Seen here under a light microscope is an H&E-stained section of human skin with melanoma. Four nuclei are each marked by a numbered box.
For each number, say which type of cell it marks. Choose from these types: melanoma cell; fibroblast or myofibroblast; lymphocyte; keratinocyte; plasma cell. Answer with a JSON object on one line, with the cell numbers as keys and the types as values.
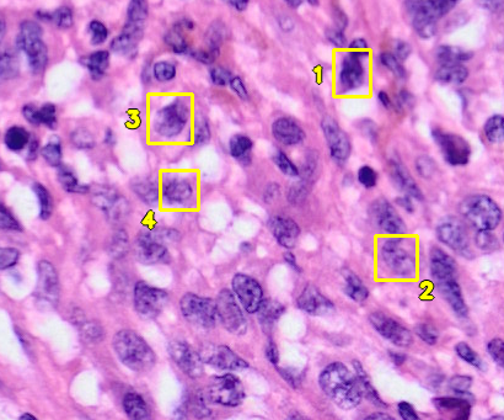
{"1": "plasma cell", "2": "melanoma cell", "3": "melanoma cell", "4": "melanoma cell"}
